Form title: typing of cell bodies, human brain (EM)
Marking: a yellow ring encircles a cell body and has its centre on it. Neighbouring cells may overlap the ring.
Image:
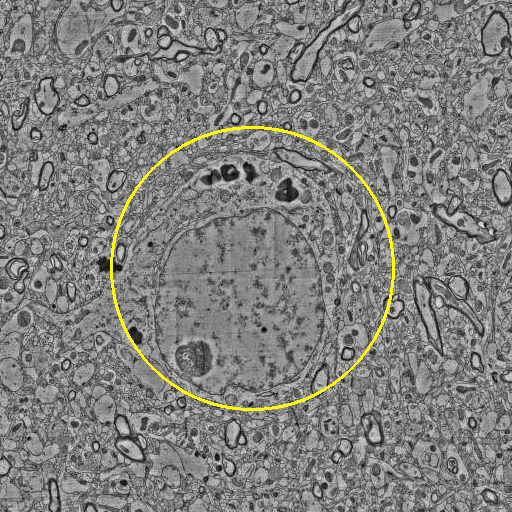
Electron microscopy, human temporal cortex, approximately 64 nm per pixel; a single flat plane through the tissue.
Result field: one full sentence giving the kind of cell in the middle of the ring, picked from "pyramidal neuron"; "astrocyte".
In the picture, the ring is centred on a pyramidal neuron, whose cell body it encircles.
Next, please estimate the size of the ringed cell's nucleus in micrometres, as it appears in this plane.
Roughly 12 micrometers across in this plane.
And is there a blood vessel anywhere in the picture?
No, the picture includes no blood vessel.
